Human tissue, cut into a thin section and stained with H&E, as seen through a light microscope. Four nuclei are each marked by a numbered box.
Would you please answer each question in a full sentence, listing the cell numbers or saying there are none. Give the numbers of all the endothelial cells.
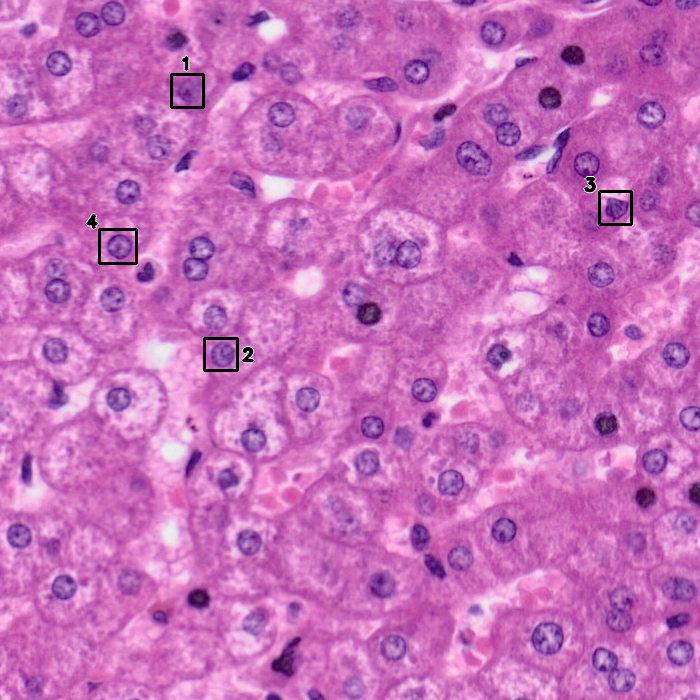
Of the cells bearing numbers, the only one that is an endothelial cell is cell 3.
